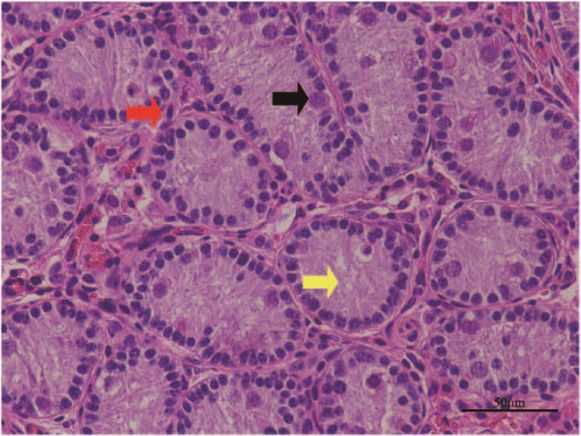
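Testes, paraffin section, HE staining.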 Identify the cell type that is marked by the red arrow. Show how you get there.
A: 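The arrow points into the interstitial space between tubules. Cells there have round nuclei and pink cytoplasm. These cells lie outside the tubule basement membranes.
Conclusion: Leydig cells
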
